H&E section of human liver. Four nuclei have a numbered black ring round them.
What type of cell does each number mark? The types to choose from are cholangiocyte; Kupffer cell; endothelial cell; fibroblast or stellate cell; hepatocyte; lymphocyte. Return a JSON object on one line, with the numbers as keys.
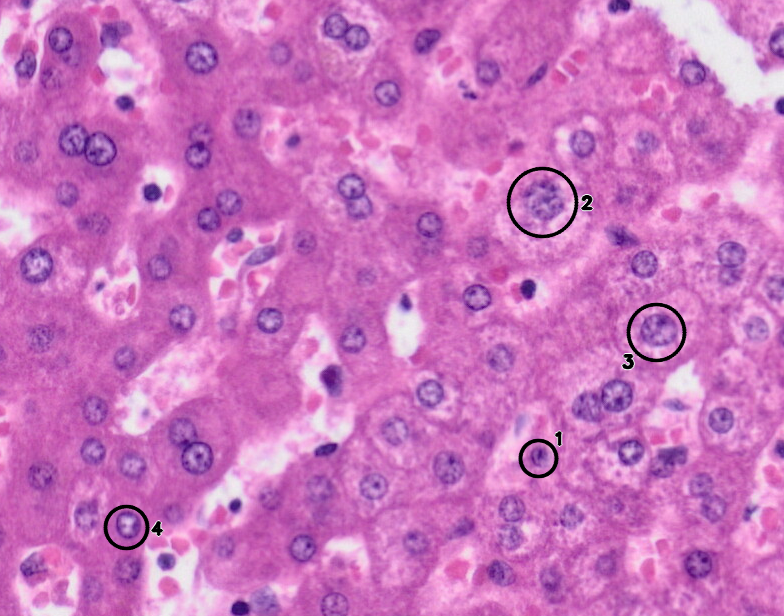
{"1": "Kupffer cell", "2": "hepatocyte", "3": "hepatocyte", "4": "hepatocyte"}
